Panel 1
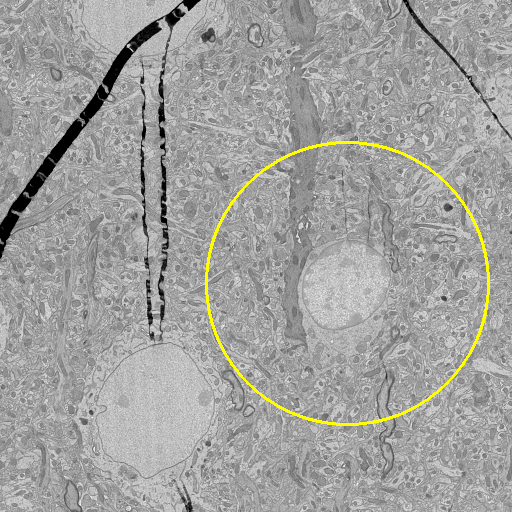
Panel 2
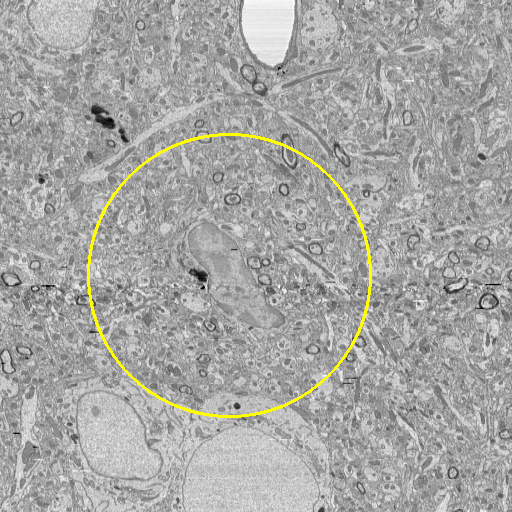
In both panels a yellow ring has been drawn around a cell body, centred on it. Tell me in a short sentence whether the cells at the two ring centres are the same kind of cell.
No, they are two kinds of cell.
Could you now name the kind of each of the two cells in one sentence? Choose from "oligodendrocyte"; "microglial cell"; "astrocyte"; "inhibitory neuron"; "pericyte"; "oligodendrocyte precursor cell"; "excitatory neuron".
The first ring encloses an oligodendrocyte; the second ring encloses a microglial cell.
